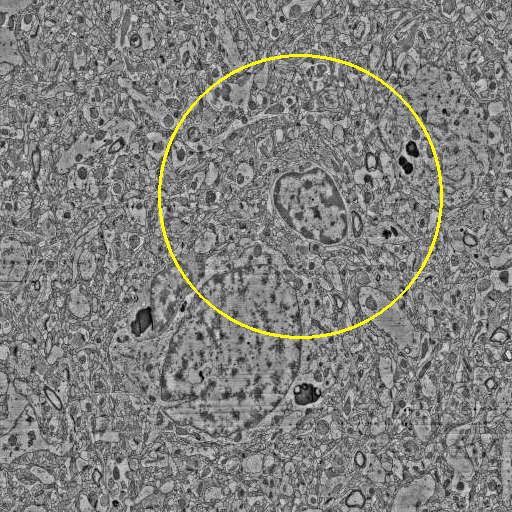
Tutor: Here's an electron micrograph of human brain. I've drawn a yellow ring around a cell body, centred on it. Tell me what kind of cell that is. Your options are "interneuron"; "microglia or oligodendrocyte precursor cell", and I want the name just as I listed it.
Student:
microglia or oligodendrocyte precursor cell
